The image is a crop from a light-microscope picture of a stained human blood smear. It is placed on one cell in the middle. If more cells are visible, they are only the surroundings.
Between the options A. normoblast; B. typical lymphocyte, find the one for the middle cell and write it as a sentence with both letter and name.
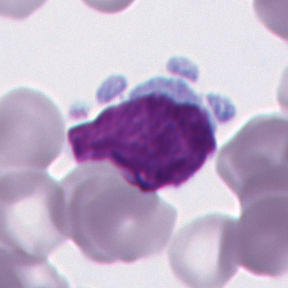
The cell at the heart of the crop is a typical lymphocyte, so choose option B.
